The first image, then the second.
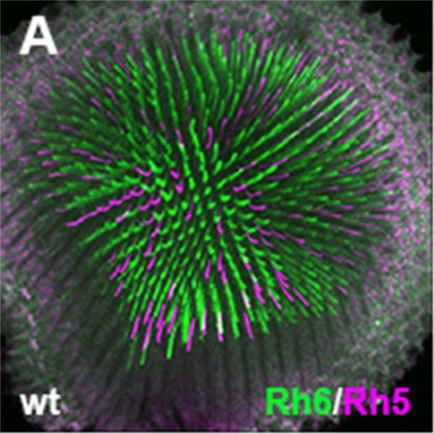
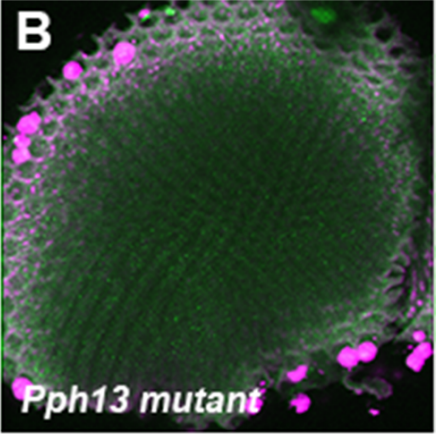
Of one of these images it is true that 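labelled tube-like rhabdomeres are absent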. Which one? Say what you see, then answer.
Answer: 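Second image: only faint diffuse green background, no labelled strands, magenta limited to round blobs at the edge. First image: many distinct green and magenta tube-like strands radiate across the field. On this evidence: the second image.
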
